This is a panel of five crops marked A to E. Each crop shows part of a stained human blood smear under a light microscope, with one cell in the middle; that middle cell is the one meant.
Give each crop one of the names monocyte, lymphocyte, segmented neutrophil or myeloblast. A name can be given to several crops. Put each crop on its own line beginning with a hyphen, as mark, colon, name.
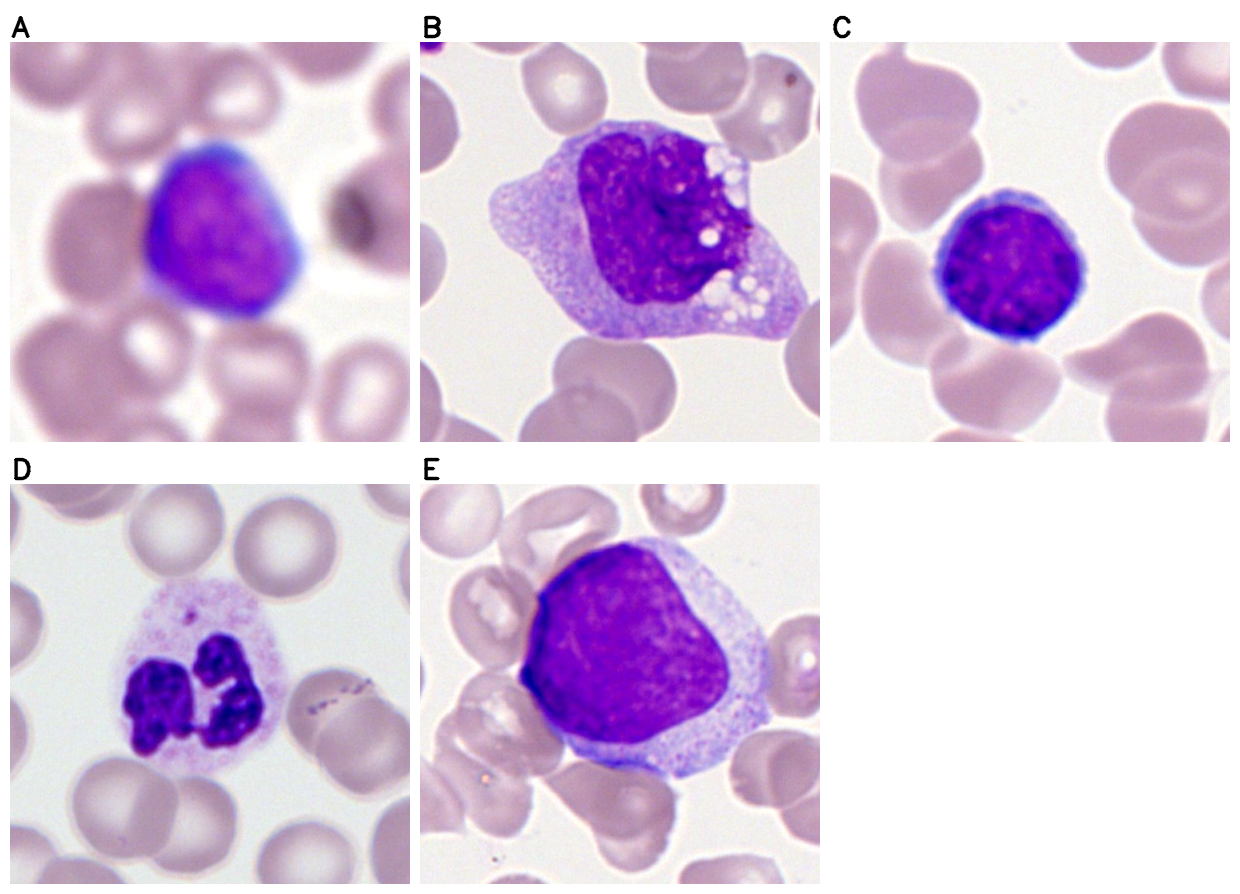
- A: myeloblast
- B: monocyte
- C: lymphocyte
- D: segmented neutrophil
- E: myeloblast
